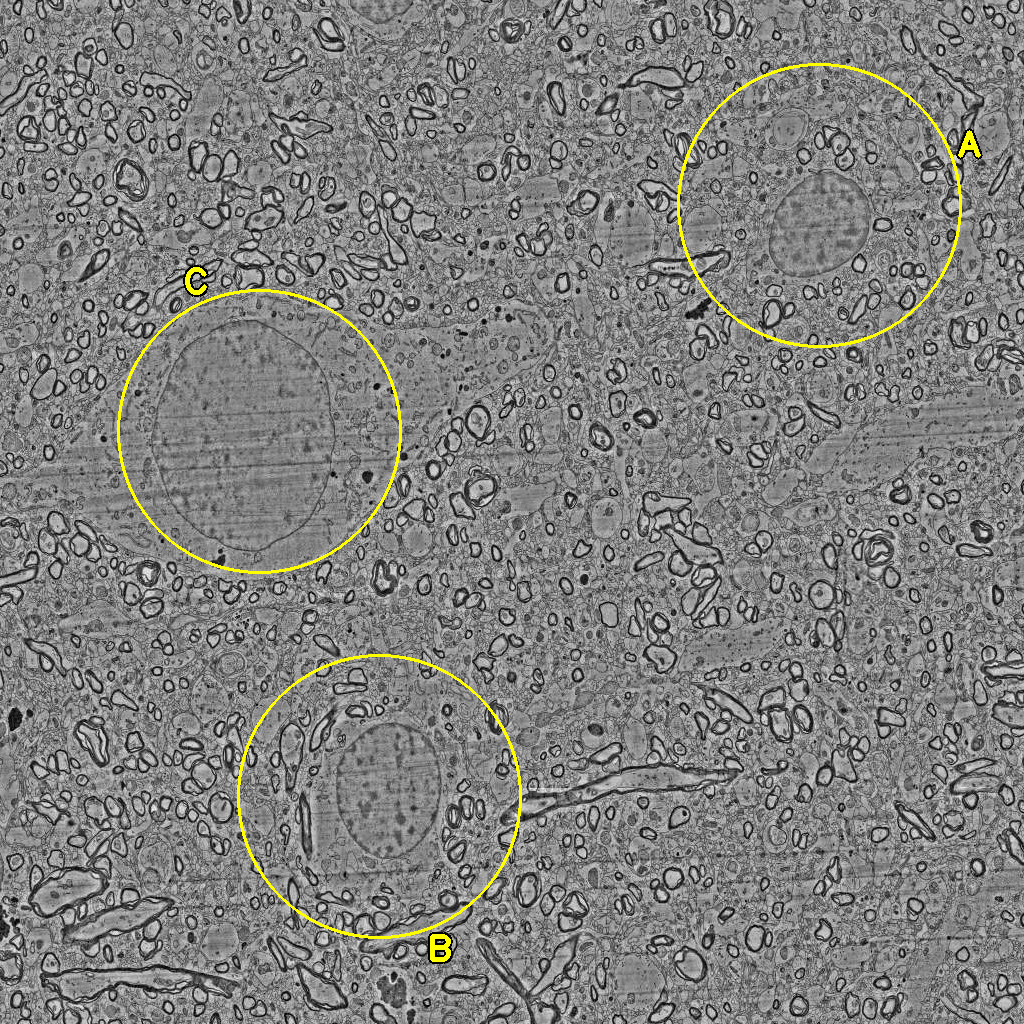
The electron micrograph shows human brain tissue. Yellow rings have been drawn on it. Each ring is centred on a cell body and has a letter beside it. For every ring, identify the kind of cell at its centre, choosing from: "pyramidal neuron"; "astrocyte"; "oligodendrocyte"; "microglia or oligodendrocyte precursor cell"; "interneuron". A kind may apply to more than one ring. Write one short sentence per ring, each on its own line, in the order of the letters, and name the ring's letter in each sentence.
Ring A is centred on an oligodendrocyte.
Ring B is centred on an astrocyte.
Ring C is centred on a pyramidal neuron.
